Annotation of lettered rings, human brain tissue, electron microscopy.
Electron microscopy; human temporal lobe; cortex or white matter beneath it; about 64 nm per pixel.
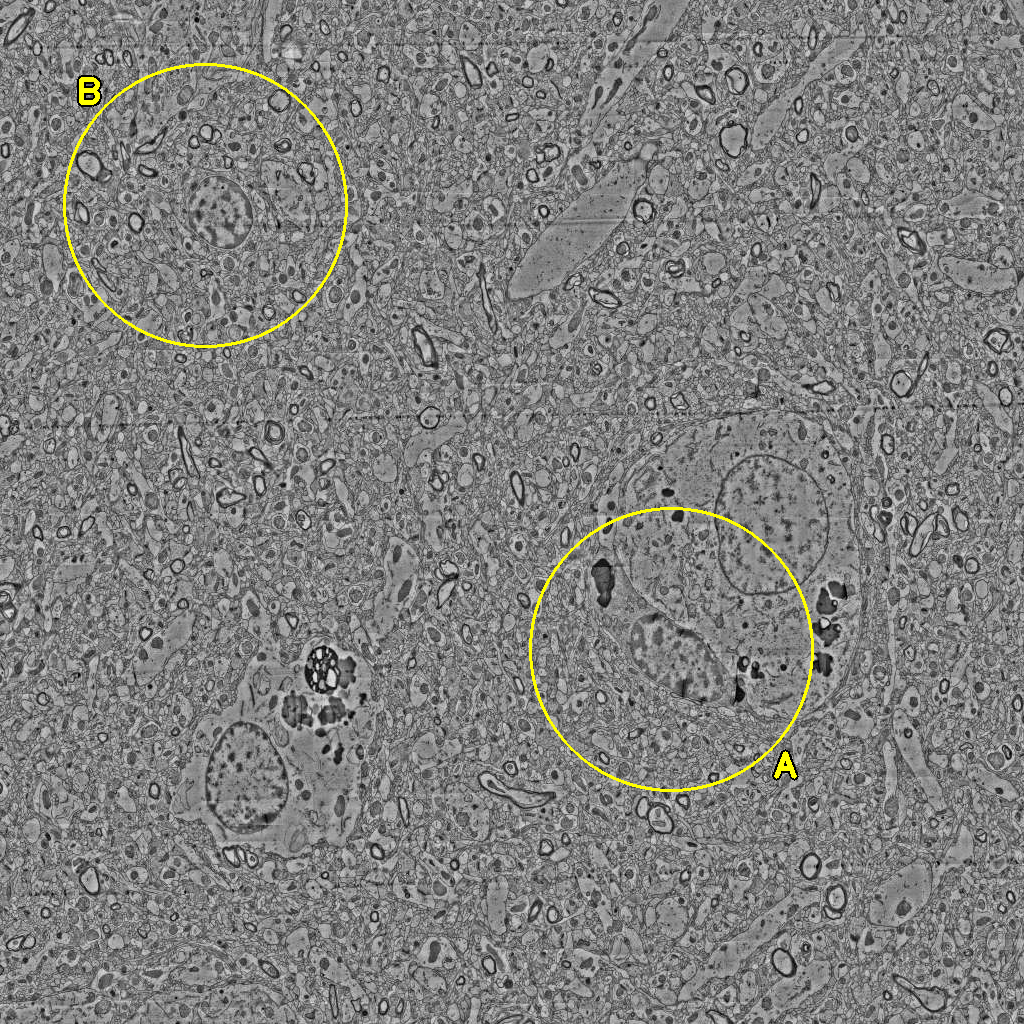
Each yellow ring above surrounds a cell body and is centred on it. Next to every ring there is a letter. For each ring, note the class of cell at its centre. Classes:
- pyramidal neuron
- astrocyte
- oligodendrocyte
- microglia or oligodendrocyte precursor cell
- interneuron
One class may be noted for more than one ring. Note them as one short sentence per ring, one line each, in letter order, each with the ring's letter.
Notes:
The class noted at ring A is an oligodendrocyte.
The class noted at ring B is a microglial cell or oligodendrocyte precursor cell.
